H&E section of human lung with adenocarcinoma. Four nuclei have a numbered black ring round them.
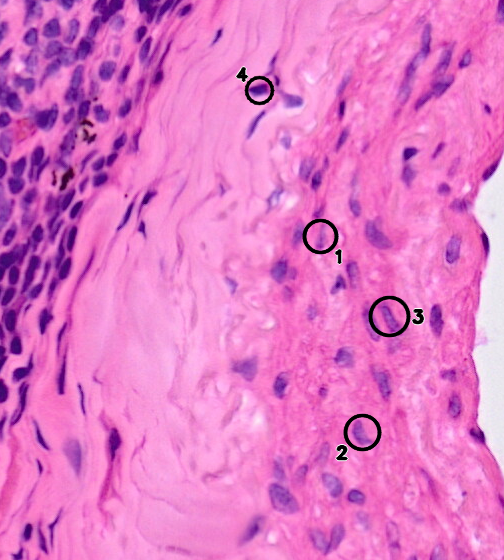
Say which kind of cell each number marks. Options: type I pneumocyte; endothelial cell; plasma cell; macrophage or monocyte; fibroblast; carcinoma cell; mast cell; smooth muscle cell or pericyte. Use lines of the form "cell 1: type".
cell 1: smooth muscle cell or pericyte
cell 2: smooth muscle cell or pericyte
cell 3: smooth muscle cell or pericyte
cell 4: mast cell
